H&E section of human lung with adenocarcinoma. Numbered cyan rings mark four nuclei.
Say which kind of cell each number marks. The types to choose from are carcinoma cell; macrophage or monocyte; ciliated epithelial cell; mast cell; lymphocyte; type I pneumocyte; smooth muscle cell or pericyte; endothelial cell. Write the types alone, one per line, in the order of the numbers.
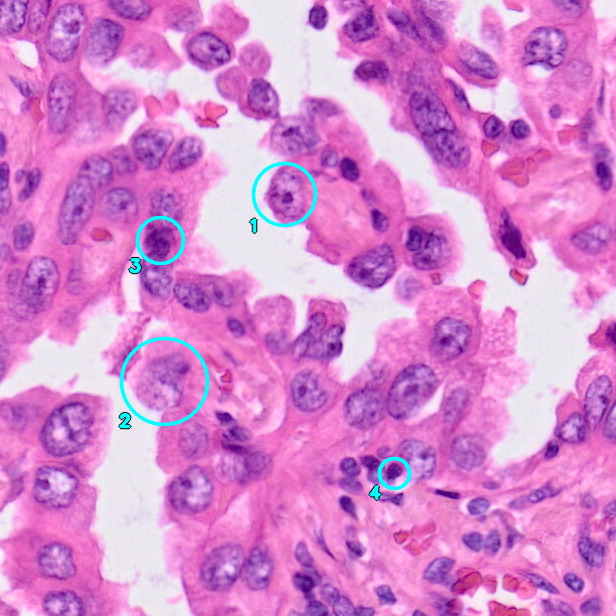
carcinoma cell
carcinoma cell
carcinoma cell
lymphocyte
